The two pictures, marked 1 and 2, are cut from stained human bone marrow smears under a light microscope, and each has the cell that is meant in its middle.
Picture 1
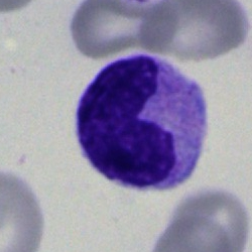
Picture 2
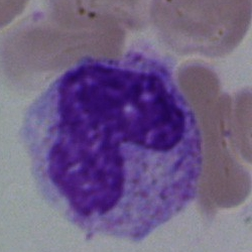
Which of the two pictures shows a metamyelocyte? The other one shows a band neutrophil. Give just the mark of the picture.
1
